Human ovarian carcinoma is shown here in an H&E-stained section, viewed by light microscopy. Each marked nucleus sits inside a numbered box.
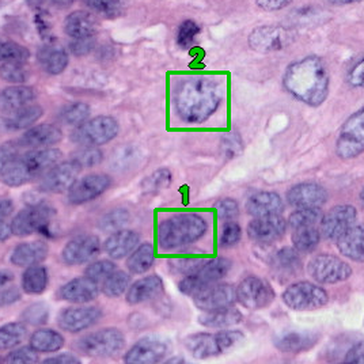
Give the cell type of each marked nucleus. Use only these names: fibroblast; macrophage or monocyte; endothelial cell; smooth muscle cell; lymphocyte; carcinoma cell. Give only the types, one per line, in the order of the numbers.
carcinoma cell
fibroblast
